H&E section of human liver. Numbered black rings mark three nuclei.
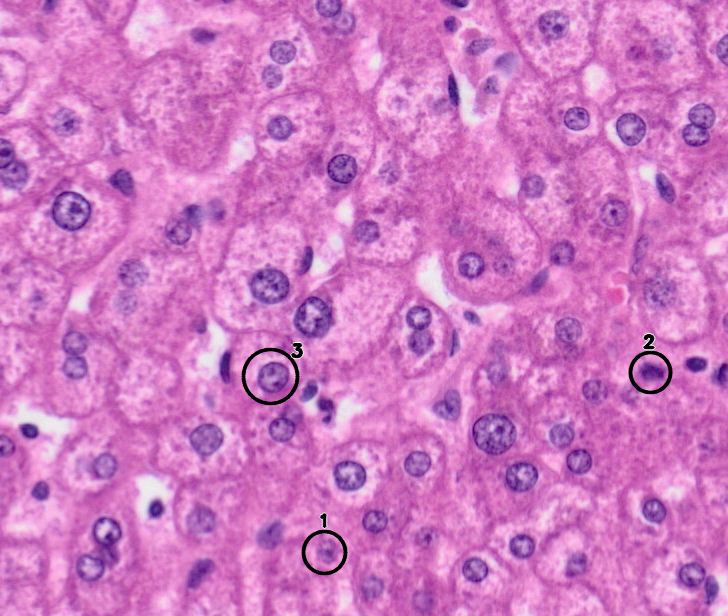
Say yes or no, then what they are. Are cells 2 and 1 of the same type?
No, cell 2 is a fibroblast or stellate cell, and in contrast cell 1 is a hepatocyte.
